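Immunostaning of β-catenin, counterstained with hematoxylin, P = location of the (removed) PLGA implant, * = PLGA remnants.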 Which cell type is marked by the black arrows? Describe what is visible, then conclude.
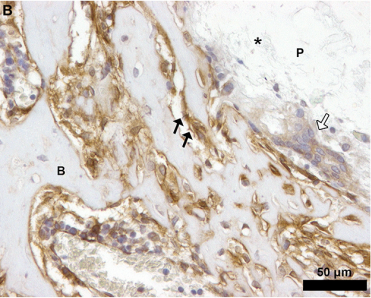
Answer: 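Flattened brown-stained cells line the surface of a cavity within the bone matrix. The cells lie in a thin layer against the pale bone.
Answer: bone-lining cells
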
